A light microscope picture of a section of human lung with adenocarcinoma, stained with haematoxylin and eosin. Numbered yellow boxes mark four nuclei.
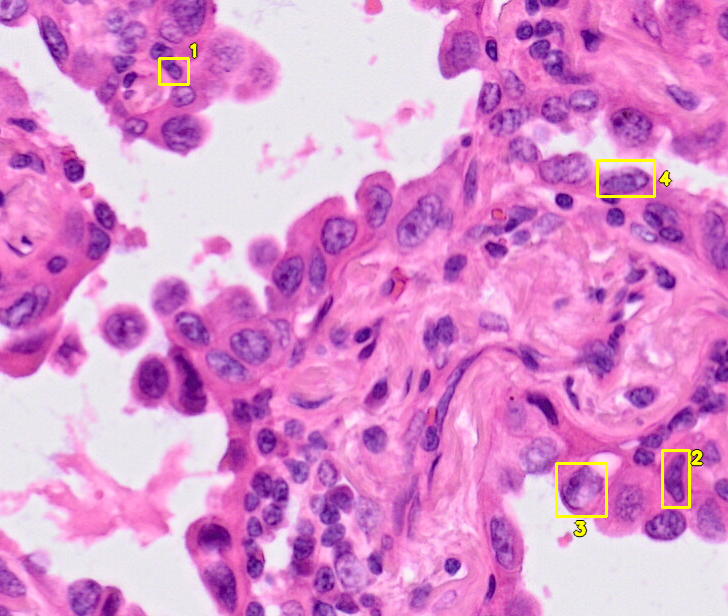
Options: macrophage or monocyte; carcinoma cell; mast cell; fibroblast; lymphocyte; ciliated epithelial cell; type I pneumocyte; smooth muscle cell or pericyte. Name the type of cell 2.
carcinoma cell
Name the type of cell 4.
carcinoma cell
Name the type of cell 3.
carcinoma cell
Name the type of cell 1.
lymphocyte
